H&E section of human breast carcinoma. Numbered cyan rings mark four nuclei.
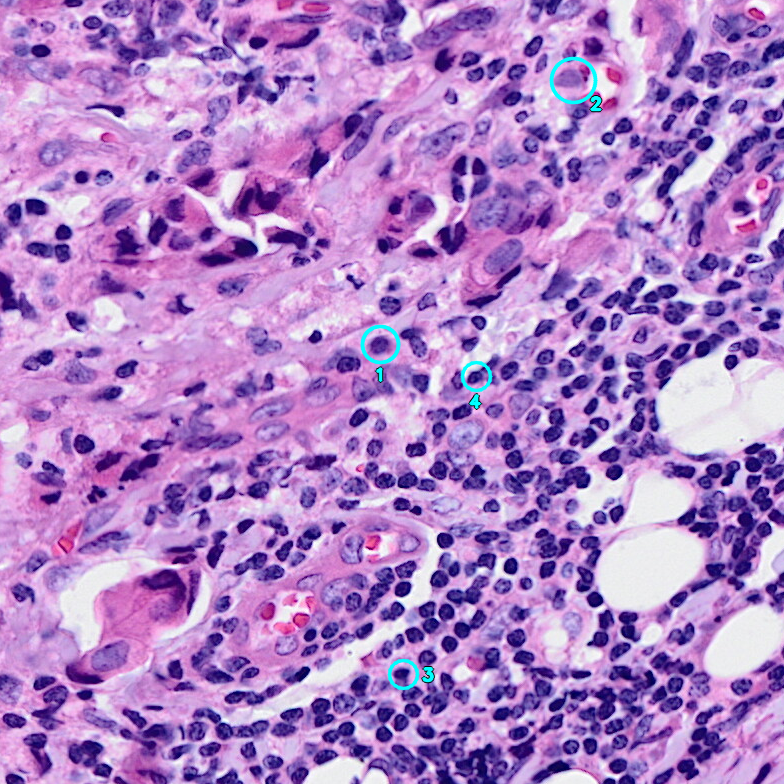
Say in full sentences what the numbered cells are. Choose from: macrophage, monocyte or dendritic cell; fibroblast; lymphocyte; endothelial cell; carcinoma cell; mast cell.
Cells 1, 3 and 4 are lymphocytes. Cell 2 is an endothelial cell.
